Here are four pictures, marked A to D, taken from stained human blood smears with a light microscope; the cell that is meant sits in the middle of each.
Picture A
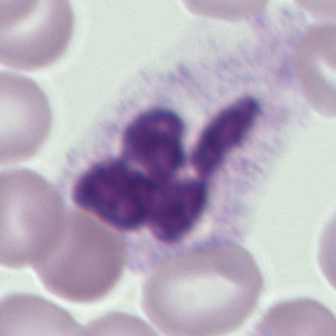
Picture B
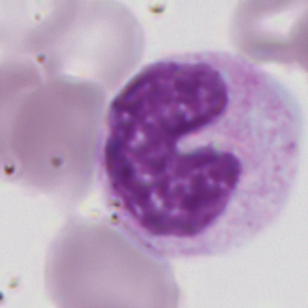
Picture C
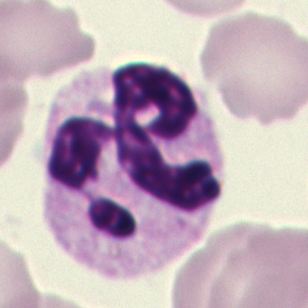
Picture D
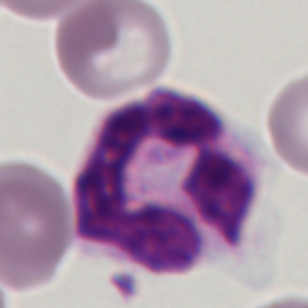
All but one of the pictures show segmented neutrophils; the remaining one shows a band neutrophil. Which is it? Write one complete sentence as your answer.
It is picture B that shows the band neutrophil.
